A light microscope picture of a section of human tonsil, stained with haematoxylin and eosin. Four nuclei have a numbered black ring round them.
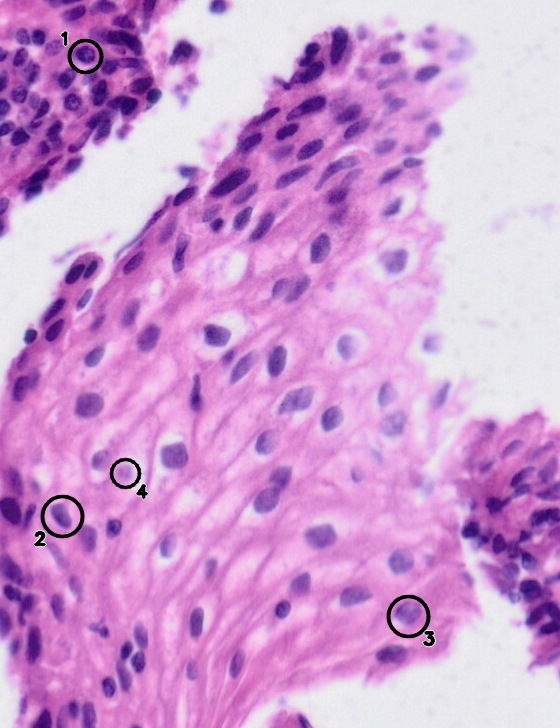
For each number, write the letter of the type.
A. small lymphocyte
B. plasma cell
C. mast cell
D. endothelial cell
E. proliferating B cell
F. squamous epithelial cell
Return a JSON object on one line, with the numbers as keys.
{"1": "B", "2": "F", "3": "F", "4": "F"}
